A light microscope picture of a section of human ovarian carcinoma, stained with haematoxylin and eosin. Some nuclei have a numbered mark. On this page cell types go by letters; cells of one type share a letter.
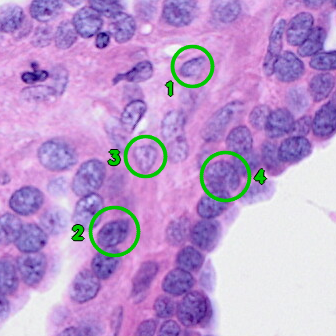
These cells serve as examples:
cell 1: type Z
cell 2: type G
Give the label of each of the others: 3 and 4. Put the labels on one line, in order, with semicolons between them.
type Z; type G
